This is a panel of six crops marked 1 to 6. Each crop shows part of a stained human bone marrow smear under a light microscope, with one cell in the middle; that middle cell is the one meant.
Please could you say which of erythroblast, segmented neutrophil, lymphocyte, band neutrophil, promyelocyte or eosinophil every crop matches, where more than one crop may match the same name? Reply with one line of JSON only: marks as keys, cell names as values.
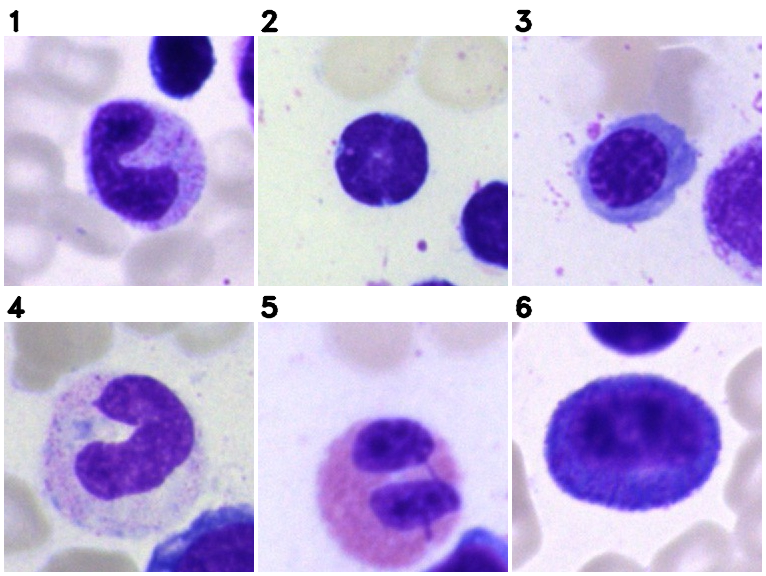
{"1": "band neutrophil", "2": "lymphocyte", "3": "erythroblast", "4": "band neutrophil", "5": "eosinophil", "6": "promyelocyte"}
